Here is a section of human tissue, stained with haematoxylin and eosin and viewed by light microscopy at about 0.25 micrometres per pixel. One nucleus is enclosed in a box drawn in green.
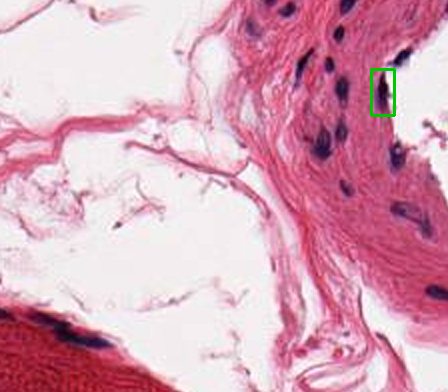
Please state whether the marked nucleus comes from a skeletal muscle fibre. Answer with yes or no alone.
no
